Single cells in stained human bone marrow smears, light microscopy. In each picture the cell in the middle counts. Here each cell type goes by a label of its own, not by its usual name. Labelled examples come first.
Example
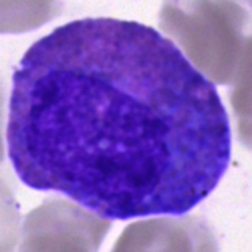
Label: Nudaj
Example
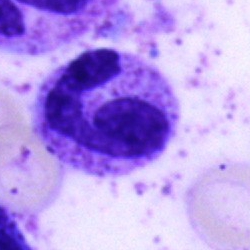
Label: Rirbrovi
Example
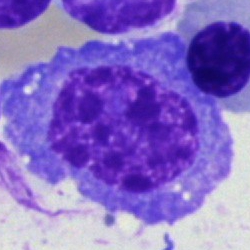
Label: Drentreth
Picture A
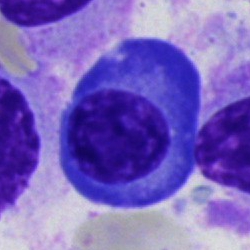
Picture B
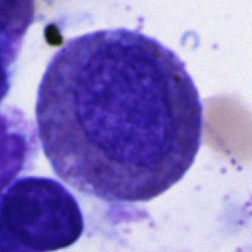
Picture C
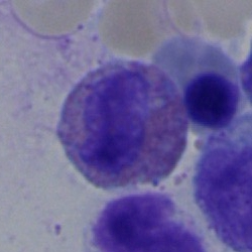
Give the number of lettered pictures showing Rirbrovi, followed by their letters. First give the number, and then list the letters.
0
